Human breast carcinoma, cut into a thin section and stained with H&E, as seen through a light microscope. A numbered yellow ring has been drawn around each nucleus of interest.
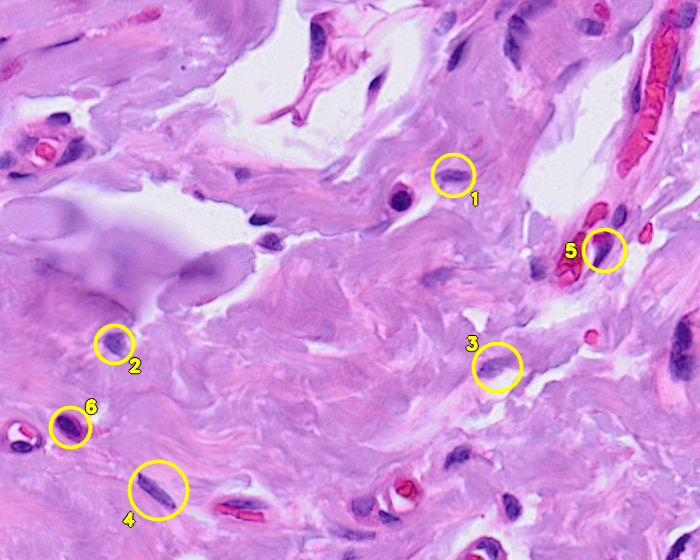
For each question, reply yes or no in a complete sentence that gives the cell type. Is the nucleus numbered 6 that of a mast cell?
Yes, in this tissue section, number 6 is a mast cell.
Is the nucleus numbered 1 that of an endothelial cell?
No, it is a fibroblast, not an endothelial cell, at number 1.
